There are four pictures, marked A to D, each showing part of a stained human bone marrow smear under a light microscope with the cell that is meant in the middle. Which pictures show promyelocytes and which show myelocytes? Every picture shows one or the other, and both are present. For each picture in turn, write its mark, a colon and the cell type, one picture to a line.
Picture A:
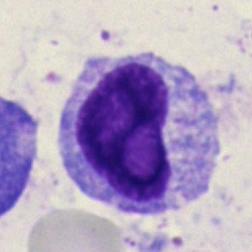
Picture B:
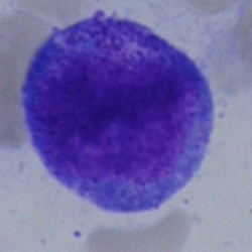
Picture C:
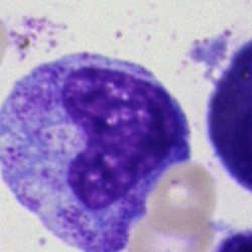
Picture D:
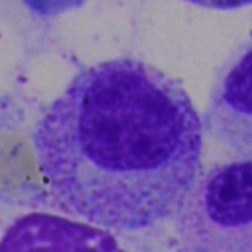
A: myelocyte
B: promyelocyte
C: promyelocyte
D: myelocyte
